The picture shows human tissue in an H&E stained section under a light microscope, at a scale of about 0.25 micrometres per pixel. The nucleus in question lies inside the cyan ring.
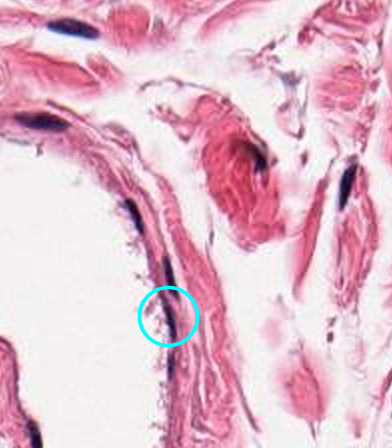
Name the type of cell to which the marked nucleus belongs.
endothelial cell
